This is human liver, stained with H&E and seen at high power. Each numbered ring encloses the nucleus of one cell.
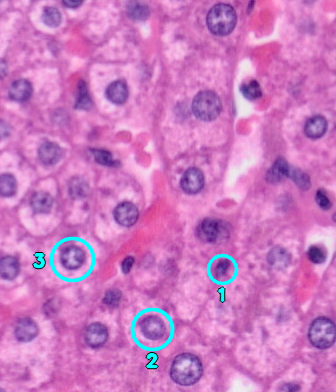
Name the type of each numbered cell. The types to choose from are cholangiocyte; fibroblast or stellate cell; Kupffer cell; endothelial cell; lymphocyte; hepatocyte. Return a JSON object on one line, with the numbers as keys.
{"1": "fibroblast or stellate cell", "2": "hepatocyte", "3": "hepatocyte"}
